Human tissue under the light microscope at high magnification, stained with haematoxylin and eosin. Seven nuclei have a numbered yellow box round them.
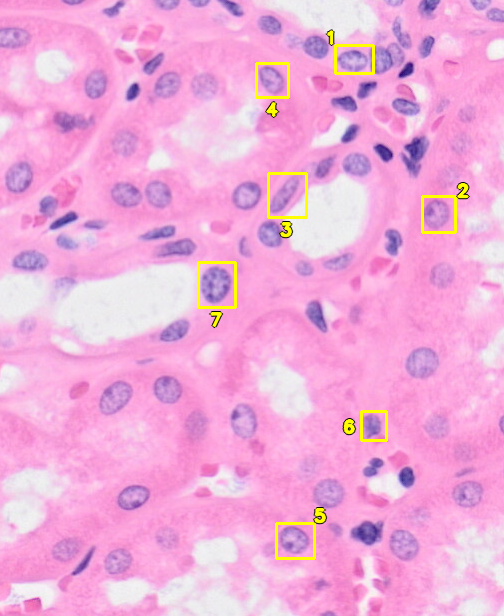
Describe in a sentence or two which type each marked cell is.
Cell 1 is a collecting duct cell, cell 2 is a proximal tubule cell, cell 3 is a collecting duct cell, cell 4 is a proximal tubule cell, cell 5 is a proximal tubule cell, cell 6 is an endothelial cell and cell 7 is a collecting duct cell.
